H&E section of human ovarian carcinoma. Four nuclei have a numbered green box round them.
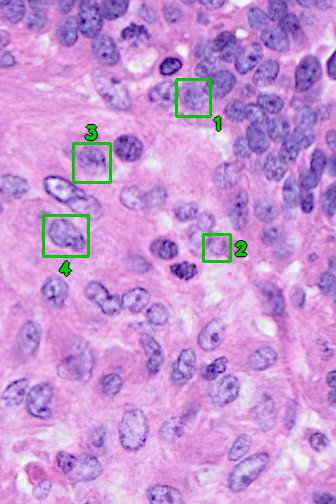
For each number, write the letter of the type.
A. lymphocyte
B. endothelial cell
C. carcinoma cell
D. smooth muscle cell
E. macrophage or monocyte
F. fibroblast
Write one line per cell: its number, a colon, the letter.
1: C
2: F
3: F
4: F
